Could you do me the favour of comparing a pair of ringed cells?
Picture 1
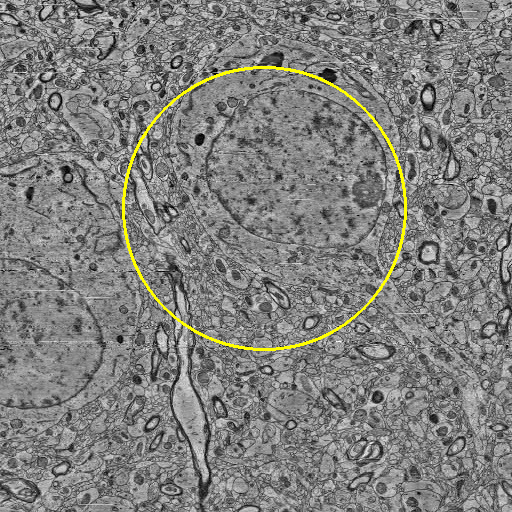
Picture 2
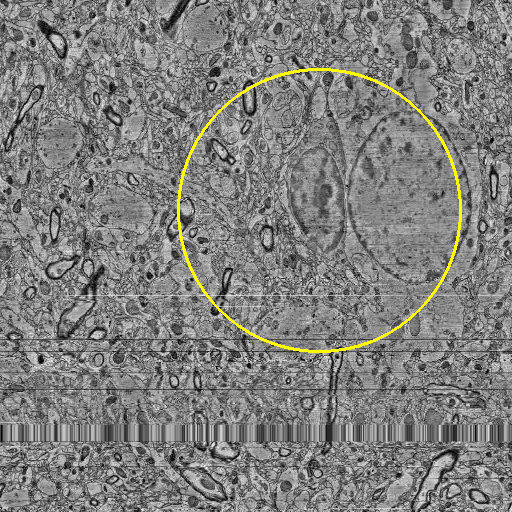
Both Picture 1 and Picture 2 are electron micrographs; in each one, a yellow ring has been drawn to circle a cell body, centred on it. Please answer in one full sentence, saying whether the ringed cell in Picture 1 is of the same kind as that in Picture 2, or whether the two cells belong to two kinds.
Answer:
The ringed cells in Picture 1 and Picture 2 belong to two kinds.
